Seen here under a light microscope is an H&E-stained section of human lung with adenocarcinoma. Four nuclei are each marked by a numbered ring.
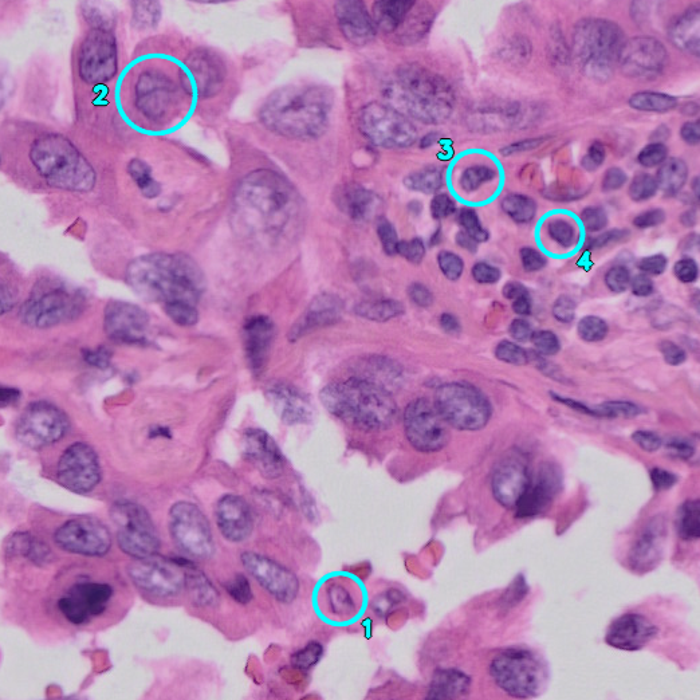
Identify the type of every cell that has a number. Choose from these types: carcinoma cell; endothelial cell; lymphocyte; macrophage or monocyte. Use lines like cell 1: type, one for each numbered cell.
cell 1: macrophage or monocyte
cell 2: carcinoma cell
cell 3: lymphocyte
cell 4: lymphocyte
